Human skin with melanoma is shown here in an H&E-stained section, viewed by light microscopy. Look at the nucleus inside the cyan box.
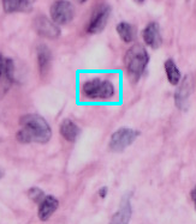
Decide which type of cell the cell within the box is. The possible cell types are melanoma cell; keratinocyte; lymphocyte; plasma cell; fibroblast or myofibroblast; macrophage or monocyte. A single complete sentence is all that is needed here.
So far as cell type goes, the cell within the box is a lymphocyte.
